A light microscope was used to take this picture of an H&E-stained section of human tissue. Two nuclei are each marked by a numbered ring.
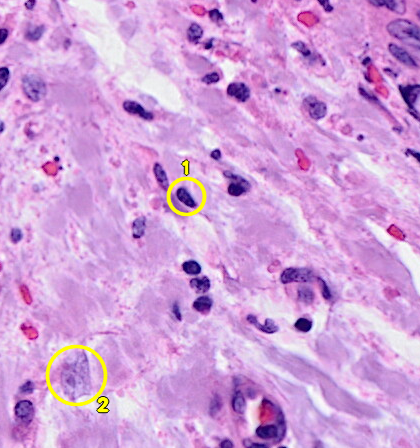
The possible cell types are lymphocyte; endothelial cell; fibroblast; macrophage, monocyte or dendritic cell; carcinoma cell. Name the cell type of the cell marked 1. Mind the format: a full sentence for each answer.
The cell with the number 1 is a lymphocyte.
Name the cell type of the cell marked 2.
The cell referenced by the number 2 is a fibroblast in this field.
